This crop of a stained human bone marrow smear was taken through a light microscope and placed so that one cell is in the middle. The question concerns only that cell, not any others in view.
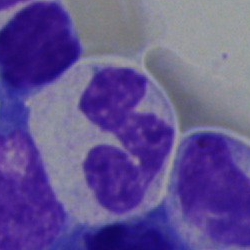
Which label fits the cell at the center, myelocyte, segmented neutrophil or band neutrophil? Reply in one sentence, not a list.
In the centre of this crop there is a segmented neutrophil.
